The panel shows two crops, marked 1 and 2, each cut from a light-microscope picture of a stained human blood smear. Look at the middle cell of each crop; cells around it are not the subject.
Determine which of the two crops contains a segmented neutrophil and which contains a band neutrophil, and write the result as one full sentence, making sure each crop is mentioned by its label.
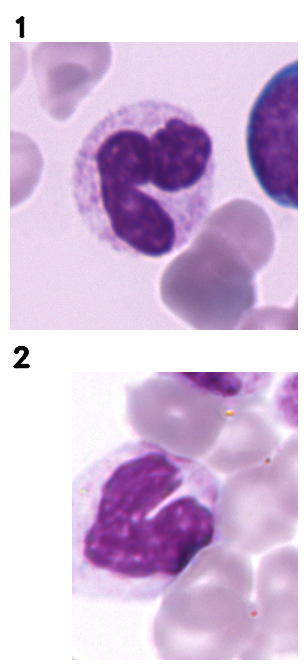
Crop 2 is a band neutrophil, while crop 1 is a segmented neutrophil.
